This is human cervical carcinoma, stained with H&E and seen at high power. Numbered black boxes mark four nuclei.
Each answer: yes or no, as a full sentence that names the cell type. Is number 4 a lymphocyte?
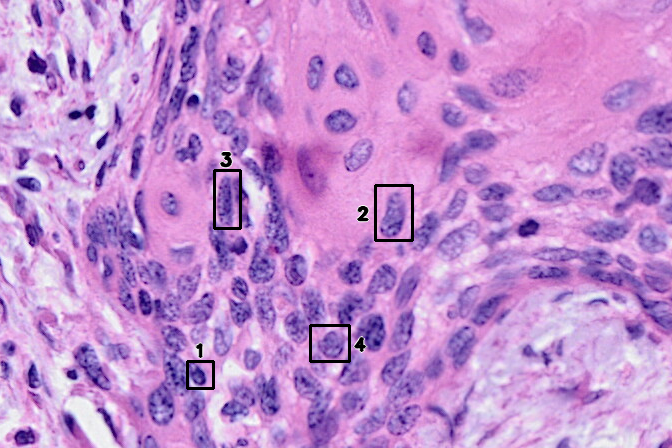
No, the marked cell 4 is not a lymphocyte, being instead a squamous carcinoma cell.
